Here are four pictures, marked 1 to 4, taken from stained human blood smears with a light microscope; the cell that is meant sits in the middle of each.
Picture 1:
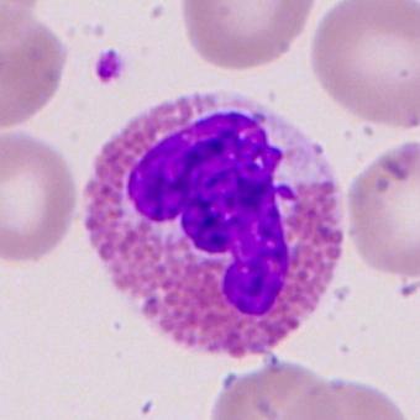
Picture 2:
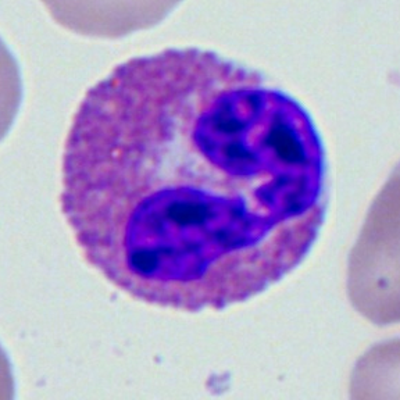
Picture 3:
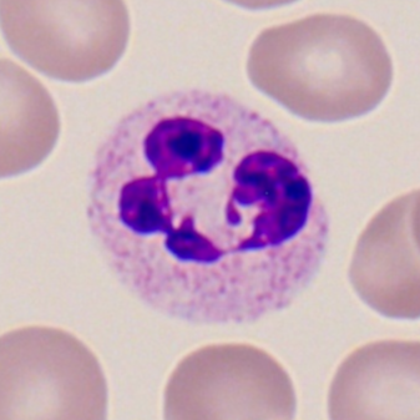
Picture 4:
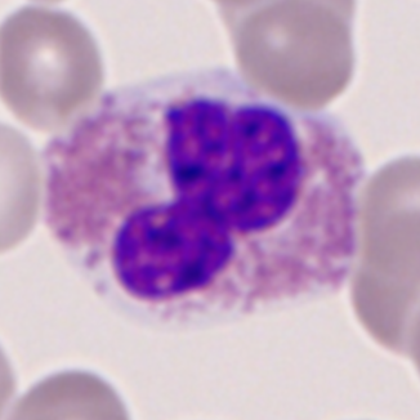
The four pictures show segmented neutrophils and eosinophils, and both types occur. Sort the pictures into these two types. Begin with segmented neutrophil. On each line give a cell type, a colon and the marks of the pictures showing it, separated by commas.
segmented neutrophil: 3
eosinophil: 1, 2, 4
